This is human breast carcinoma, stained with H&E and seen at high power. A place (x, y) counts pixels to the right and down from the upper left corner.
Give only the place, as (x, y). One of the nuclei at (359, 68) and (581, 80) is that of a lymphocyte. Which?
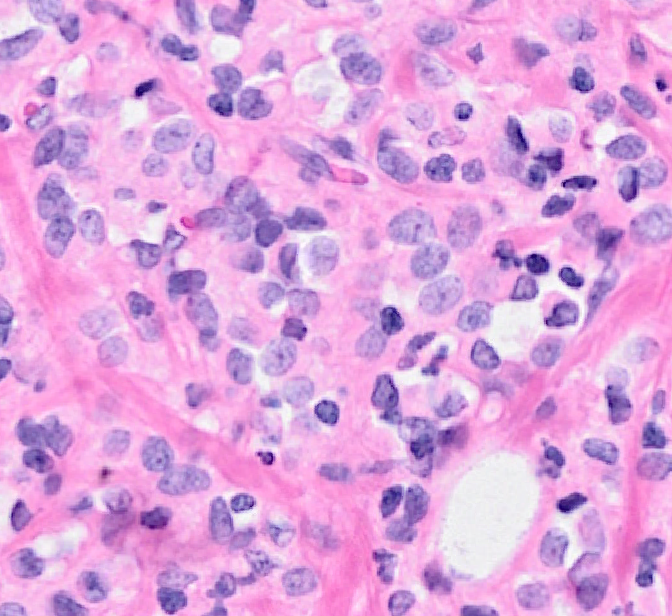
(581, 80)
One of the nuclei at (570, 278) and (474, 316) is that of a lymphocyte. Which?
(570, 278)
